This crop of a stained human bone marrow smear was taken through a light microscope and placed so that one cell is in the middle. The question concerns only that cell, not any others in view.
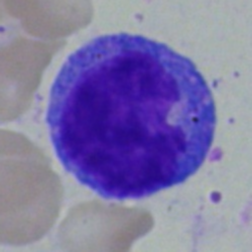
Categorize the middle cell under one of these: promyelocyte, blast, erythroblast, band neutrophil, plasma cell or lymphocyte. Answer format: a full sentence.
Occupying the centre of the crop is a promyelocyte.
